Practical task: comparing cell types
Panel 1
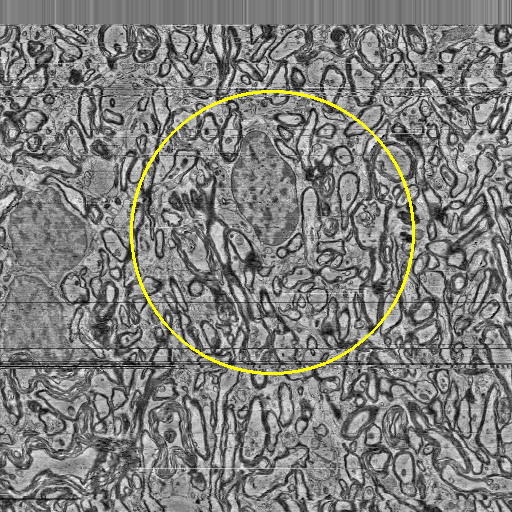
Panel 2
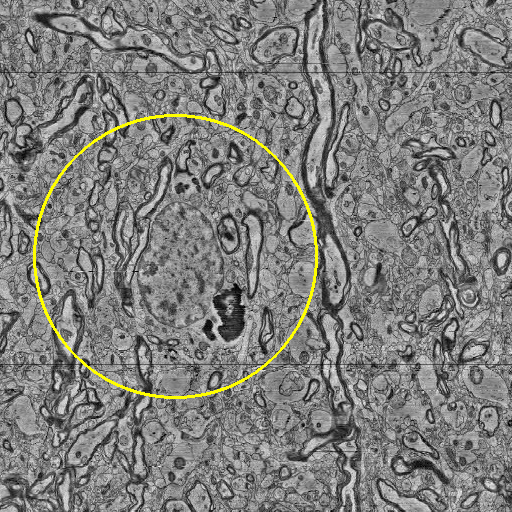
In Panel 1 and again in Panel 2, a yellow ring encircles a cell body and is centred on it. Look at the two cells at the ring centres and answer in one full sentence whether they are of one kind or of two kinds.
The two cells sitting at the ring centres of Panels 1 and 2 are of two kinds.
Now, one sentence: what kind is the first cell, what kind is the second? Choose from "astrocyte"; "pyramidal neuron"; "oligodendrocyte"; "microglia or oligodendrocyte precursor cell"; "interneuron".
The first picture has a microglial cell or oligodendrocyte precursor cell at its ring centre, and the second has an oligodendrocyte.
